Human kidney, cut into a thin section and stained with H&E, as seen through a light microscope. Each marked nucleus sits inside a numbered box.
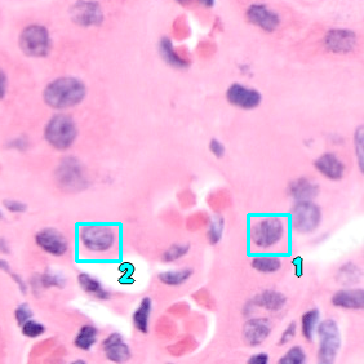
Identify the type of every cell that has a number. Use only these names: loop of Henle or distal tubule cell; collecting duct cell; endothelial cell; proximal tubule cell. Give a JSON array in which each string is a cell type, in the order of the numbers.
["collecting duct cell", "loop of Henle or distal tubule cell"]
